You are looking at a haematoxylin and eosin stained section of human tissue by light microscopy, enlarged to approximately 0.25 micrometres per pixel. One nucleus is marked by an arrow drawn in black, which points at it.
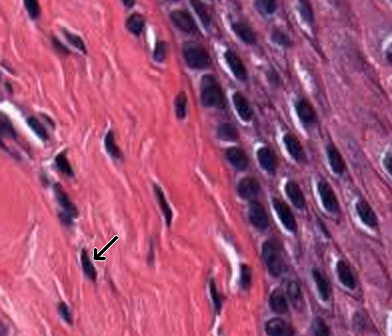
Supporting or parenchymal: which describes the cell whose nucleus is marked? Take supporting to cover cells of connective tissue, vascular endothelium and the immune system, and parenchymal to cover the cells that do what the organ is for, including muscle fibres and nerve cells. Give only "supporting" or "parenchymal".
supporting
